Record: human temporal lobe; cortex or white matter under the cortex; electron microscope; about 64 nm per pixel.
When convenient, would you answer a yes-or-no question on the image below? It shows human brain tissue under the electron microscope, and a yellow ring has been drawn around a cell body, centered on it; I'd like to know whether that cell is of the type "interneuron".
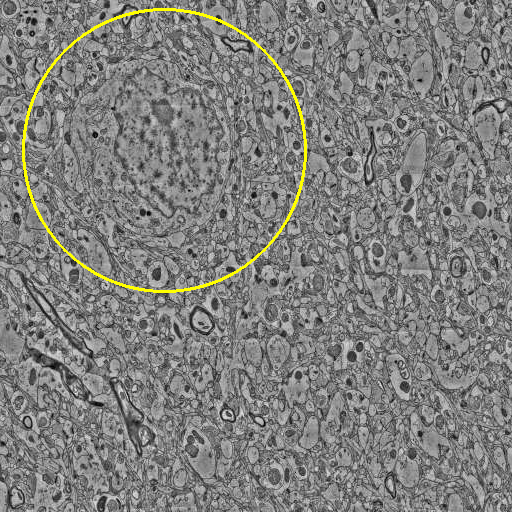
yes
